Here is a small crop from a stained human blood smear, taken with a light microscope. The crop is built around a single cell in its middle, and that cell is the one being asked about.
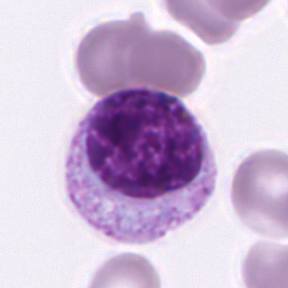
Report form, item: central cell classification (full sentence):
Located at the centre of the crop is a myelocyte.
